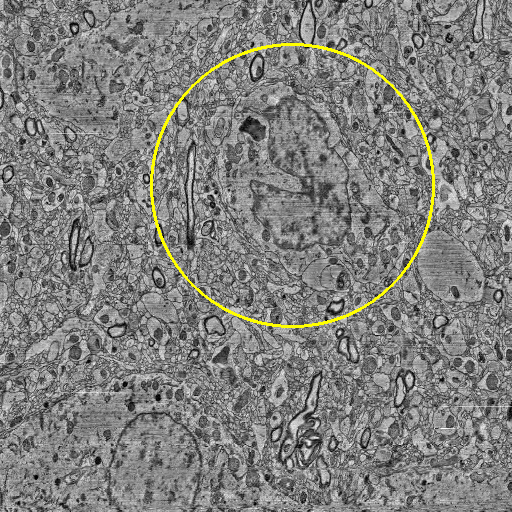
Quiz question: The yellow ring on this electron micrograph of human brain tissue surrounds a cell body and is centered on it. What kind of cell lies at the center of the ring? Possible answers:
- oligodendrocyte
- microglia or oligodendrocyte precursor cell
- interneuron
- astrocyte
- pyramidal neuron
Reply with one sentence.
The ring's center lies on an interneuron.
